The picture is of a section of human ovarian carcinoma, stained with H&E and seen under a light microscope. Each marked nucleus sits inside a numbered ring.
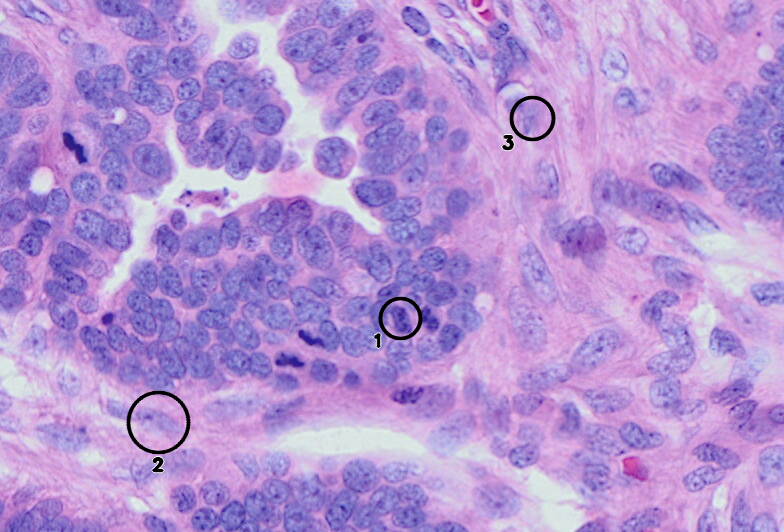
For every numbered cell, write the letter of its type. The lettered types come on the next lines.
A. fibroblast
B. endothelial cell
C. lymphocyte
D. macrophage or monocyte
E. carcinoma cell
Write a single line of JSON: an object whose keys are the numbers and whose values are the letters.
{"1": "E", "2": "A", "3": "A"}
